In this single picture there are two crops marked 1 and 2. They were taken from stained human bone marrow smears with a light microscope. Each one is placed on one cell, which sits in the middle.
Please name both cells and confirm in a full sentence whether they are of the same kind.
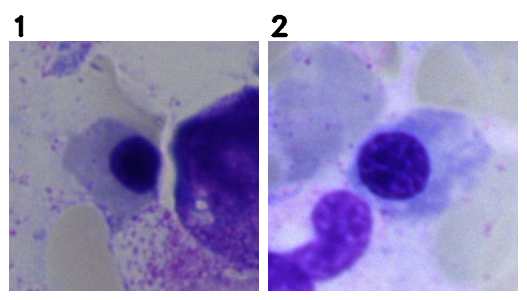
Yes, the two crops show erythroblasts, one cell each.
